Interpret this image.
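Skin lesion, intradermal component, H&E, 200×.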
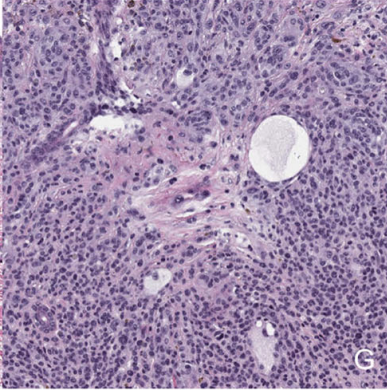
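A dense sheet of melanocytic cells fills the dermis, most of them small with round to oval dark purple nuclei and scant pale cytoplasm. Scattered among them are a few larger cells with more abundant pale pink cytoplasm and larger nuclei, of epithelioid appearance. Several round clear spaces punctuate the sheet, one holding faint pink material, resembling cystic spaces or fat-like vacuoles. Thin strands of pink collagen and small vessels run between groups of cells. The picture is that of a dermal melanocytic proliferation of mostly small mature cells with isolated large epithelioid cells.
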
